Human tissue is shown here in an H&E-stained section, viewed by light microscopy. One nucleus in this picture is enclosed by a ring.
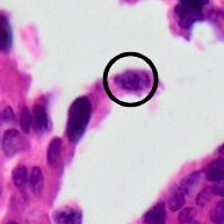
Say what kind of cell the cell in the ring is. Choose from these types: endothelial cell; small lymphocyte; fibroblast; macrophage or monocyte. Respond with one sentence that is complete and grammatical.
The correct response here is that the cell in the ring is a macrophage or monocyte.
